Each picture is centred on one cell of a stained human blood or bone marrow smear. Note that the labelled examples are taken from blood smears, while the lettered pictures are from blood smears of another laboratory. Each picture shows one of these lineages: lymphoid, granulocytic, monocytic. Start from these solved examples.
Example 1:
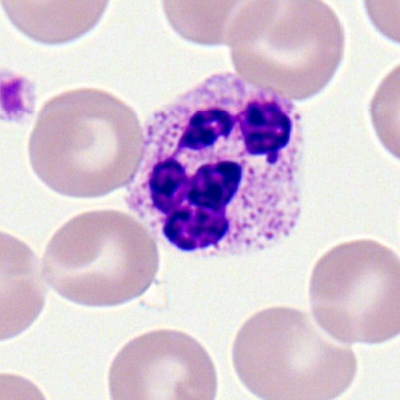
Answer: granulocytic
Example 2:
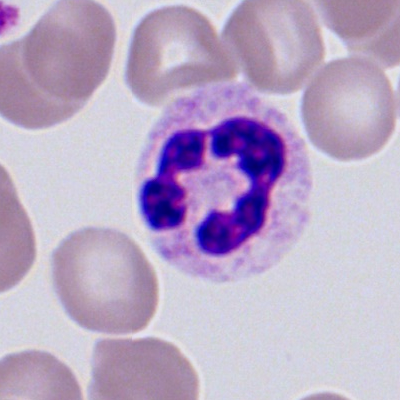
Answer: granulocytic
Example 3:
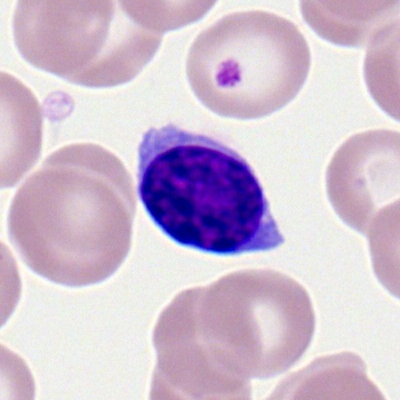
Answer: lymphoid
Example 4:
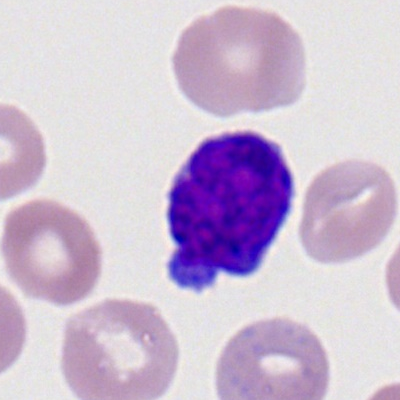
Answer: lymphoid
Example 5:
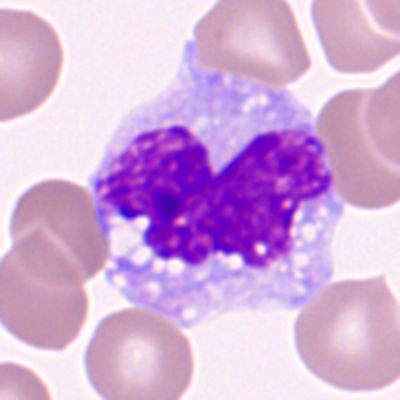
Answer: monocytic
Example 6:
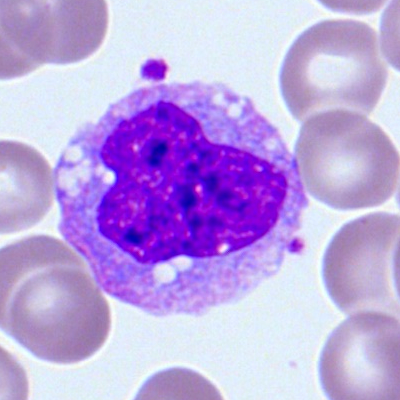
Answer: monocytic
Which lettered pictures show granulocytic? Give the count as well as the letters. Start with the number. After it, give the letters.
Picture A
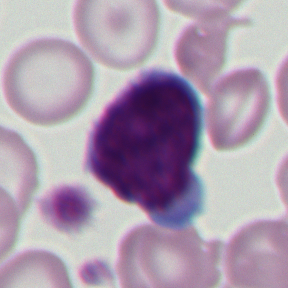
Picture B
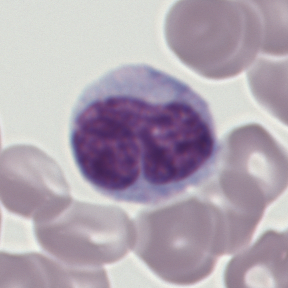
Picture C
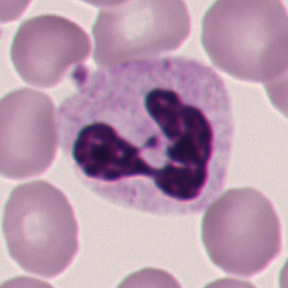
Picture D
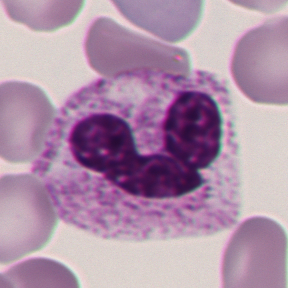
Count: 2 (C, D)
